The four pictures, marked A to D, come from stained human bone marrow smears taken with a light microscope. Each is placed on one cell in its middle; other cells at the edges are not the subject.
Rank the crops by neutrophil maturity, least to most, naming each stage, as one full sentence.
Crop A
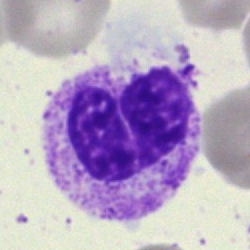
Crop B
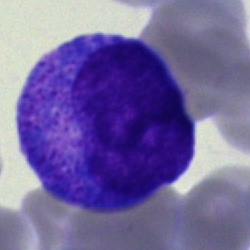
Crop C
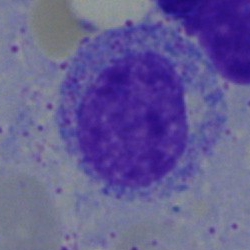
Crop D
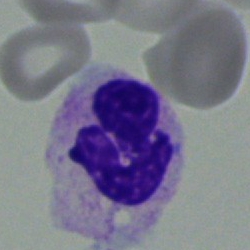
The crops, when placed from least to most mature, read crop B (a promyelocyte), crop C (a myelocyte), crop A (a band neutrophil) and crop D (a segmented neutrophil).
